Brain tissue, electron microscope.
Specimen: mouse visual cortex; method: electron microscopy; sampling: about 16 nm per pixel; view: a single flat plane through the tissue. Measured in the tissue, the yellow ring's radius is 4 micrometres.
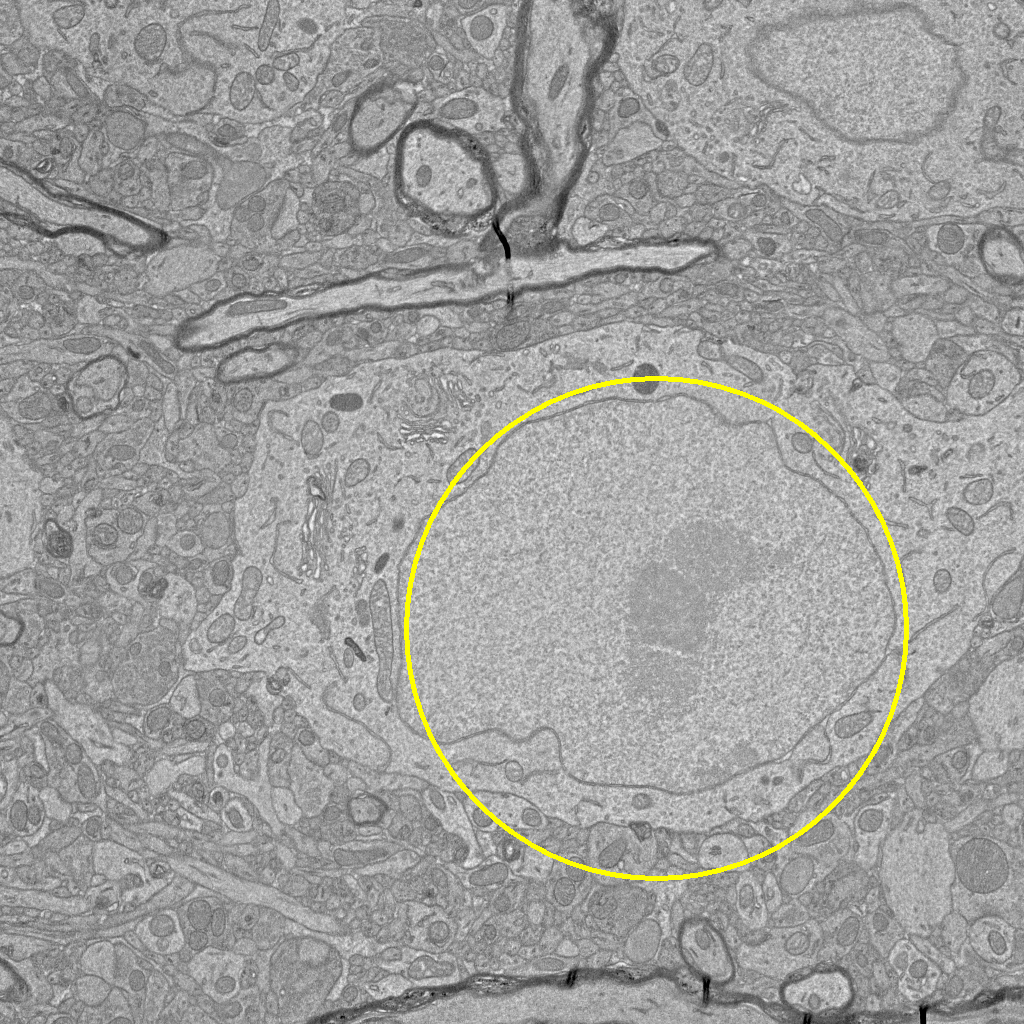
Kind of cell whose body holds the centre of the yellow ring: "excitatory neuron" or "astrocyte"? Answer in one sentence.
The ring's centre falls on an excitatory neuron.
